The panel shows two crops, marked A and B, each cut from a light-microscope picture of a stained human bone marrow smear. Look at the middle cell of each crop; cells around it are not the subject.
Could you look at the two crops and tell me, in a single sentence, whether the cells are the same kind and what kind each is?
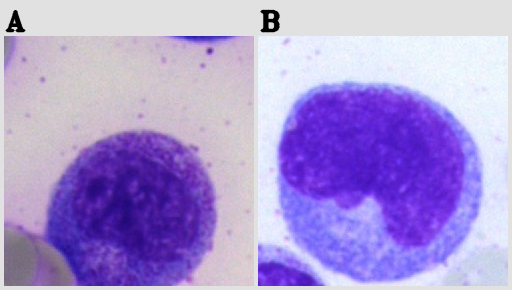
No, on this set crop A shows a myelocyte and crop B shows a monocyte.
